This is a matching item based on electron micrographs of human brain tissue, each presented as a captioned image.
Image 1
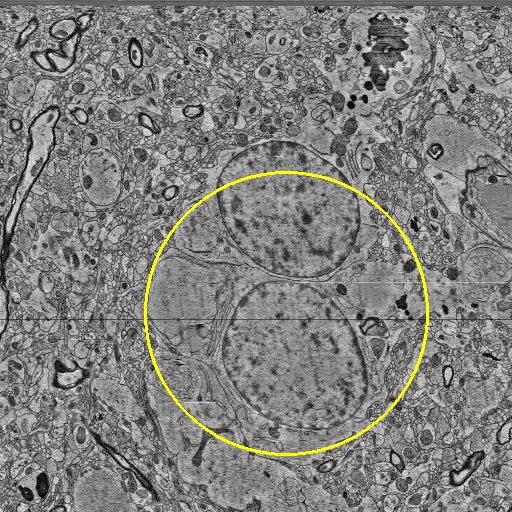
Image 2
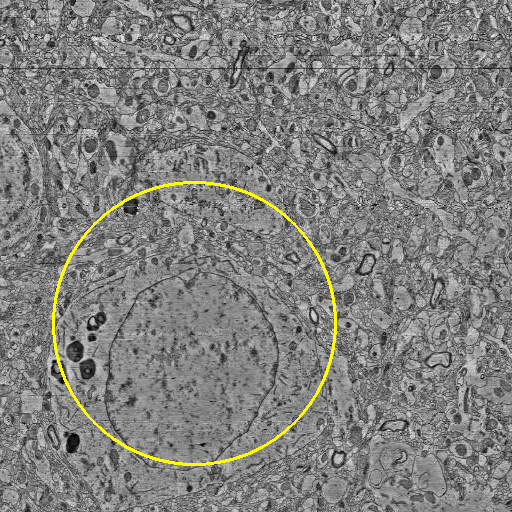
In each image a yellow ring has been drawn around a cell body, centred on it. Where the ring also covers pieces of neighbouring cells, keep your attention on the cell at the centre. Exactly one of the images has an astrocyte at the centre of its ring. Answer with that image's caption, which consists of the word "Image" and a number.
Image 1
